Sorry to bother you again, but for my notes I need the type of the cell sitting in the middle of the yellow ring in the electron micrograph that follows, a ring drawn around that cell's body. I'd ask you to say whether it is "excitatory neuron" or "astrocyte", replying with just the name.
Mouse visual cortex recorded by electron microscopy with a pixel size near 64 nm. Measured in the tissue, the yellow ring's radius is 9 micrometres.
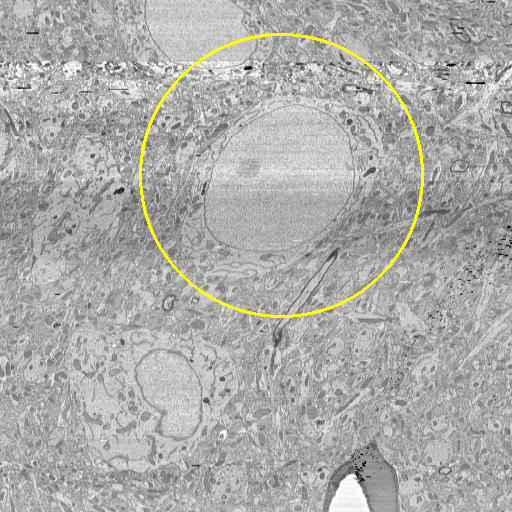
excitatory neuron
